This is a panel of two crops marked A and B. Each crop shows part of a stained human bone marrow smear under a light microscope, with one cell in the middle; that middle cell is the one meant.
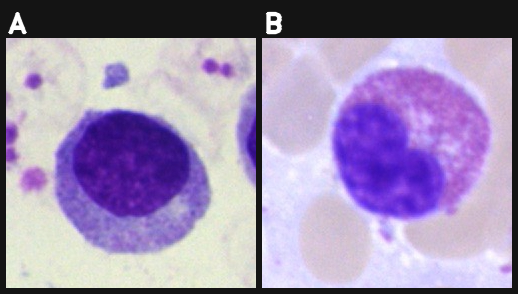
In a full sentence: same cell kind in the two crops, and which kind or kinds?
No, an eosinophil is depicted in crop B, whereas a myelocyte is depicted in crop A.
